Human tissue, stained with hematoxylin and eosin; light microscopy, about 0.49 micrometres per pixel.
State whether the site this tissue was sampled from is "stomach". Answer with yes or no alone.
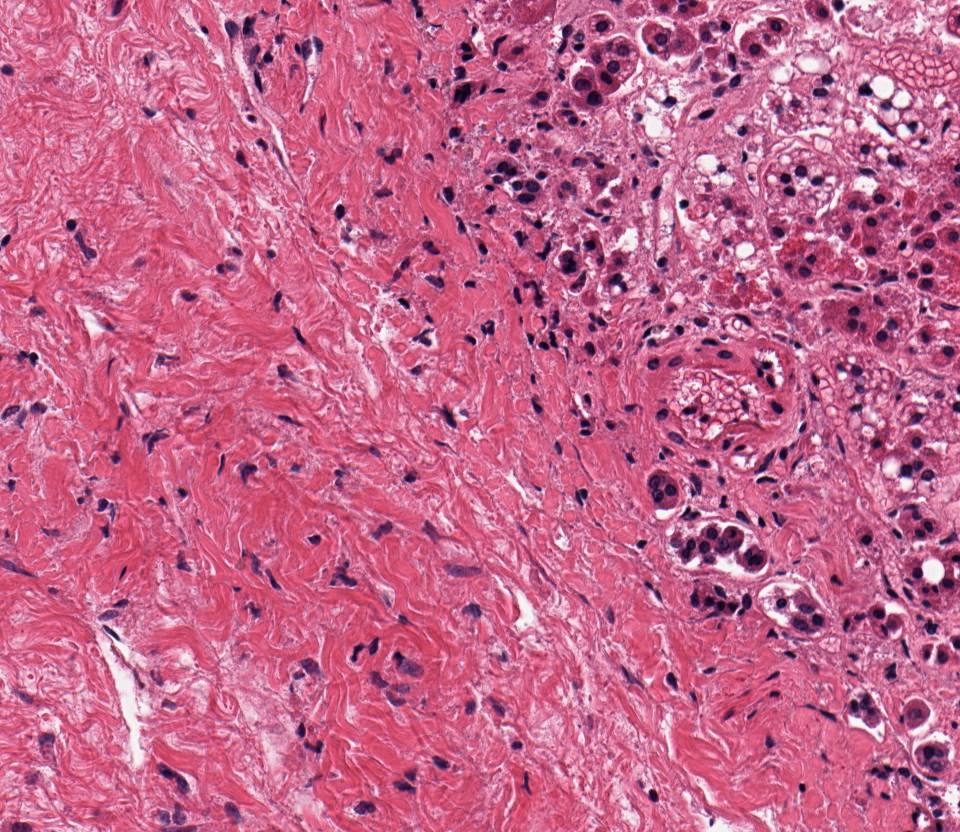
no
